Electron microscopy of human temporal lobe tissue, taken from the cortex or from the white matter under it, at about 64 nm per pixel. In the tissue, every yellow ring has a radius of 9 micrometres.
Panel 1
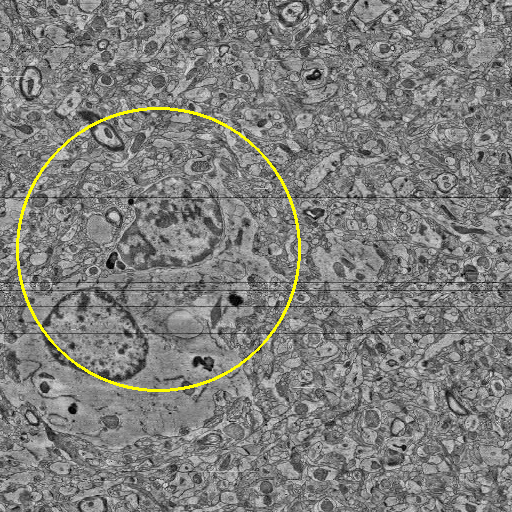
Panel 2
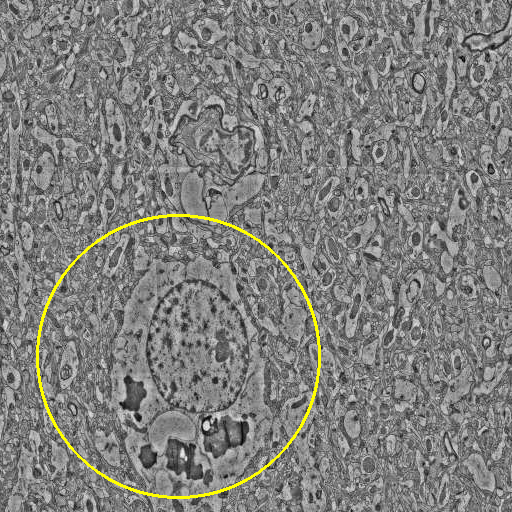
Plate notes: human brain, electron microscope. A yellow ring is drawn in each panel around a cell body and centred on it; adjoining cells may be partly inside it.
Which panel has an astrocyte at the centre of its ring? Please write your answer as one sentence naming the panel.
The ring in Panel 2 is centred on such a cell.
